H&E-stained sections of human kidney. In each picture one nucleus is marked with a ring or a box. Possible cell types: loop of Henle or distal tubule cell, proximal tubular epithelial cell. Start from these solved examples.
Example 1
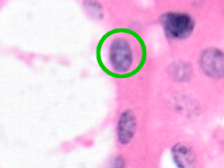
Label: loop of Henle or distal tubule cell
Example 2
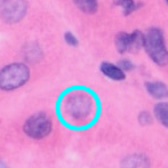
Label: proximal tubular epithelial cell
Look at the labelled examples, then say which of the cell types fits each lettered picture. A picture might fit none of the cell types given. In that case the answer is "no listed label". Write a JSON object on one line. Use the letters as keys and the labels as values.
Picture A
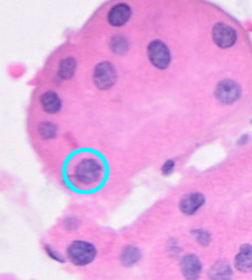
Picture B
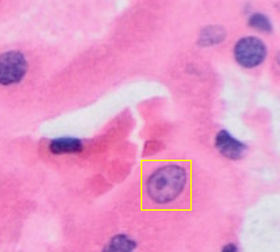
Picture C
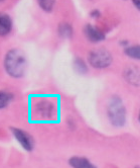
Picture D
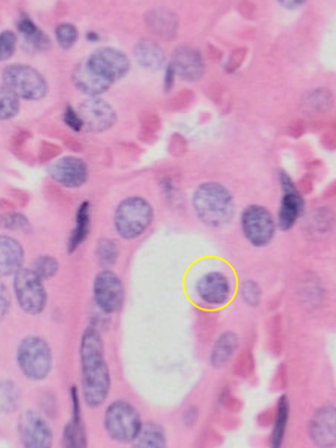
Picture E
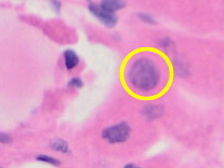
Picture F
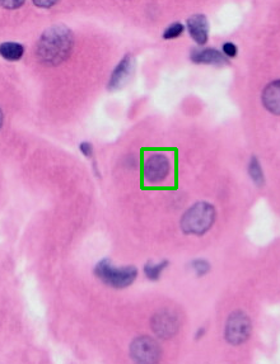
{"A": "proximal tubular epithelial cell", "B": "proximal tubular epithelial cell", "C": "loop of Henle or distal tubule cell", "D": "no listed label", "E": "proximal tubular epithelial cell", "F": "proximal tubular epithelial cell"}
